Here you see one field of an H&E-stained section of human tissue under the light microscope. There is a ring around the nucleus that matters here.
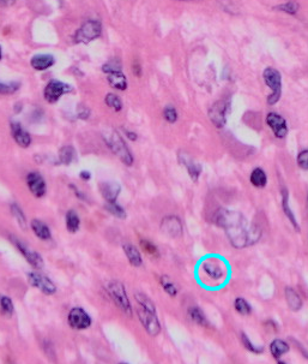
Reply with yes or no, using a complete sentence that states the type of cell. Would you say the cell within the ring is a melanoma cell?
No, kindly revise that, as the cell within the ring is a lymphocyte rather than a melanoma cell.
